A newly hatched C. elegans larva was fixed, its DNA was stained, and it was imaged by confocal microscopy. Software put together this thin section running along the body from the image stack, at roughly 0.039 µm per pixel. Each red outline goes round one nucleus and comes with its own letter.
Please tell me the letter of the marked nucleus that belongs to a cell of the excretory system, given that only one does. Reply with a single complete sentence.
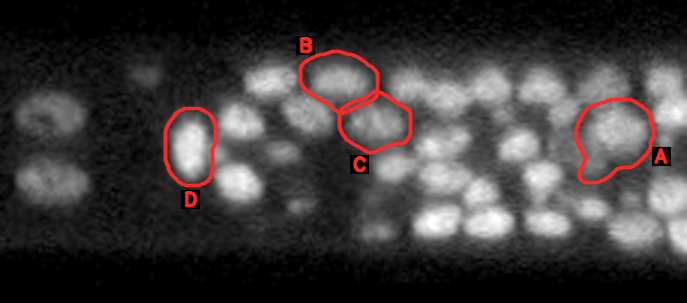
It is A that belongs to a cell of the excretory system.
